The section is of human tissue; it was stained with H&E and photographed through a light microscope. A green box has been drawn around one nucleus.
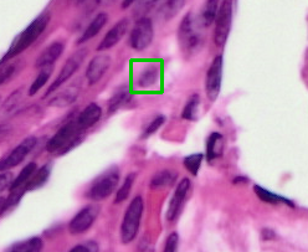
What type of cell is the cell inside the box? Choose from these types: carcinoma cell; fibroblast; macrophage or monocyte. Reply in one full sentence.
It is as a macrophage or monocyte that the cell inside the box is classified.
